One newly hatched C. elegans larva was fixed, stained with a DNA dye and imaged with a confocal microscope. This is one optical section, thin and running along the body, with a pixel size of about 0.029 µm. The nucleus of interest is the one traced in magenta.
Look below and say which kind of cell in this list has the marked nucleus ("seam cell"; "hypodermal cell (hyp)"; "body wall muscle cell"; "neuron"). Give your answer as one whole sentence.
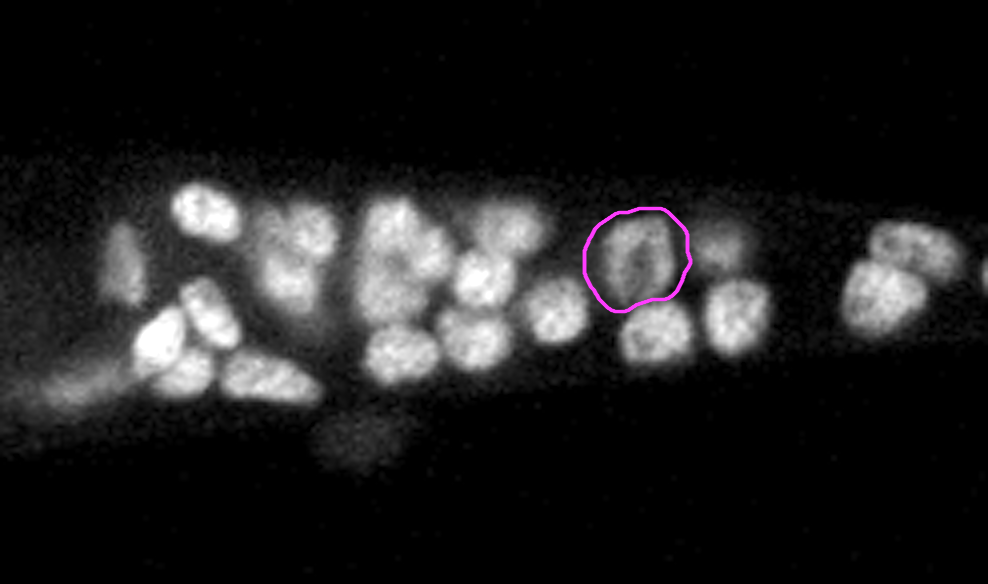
The marked nucleus is that of a seam cell.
